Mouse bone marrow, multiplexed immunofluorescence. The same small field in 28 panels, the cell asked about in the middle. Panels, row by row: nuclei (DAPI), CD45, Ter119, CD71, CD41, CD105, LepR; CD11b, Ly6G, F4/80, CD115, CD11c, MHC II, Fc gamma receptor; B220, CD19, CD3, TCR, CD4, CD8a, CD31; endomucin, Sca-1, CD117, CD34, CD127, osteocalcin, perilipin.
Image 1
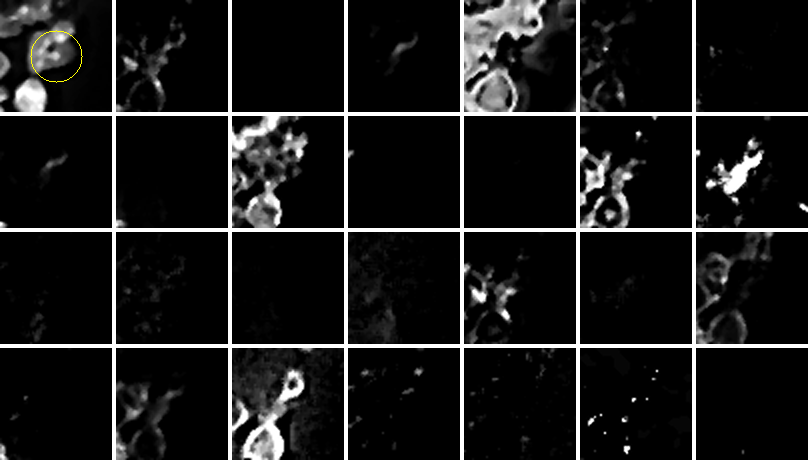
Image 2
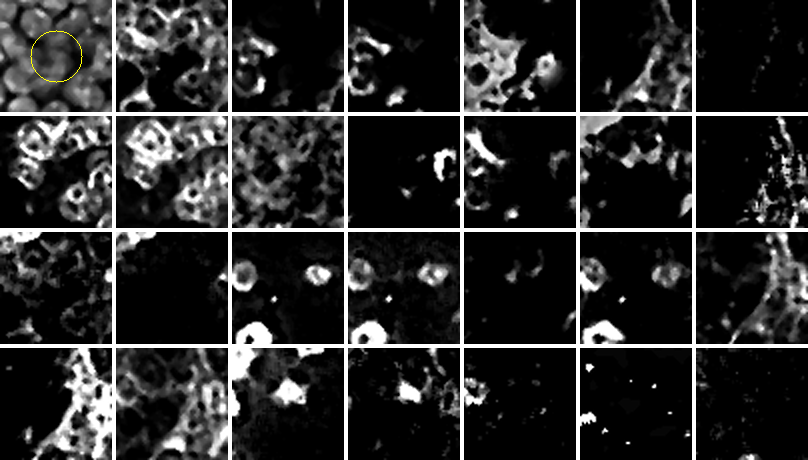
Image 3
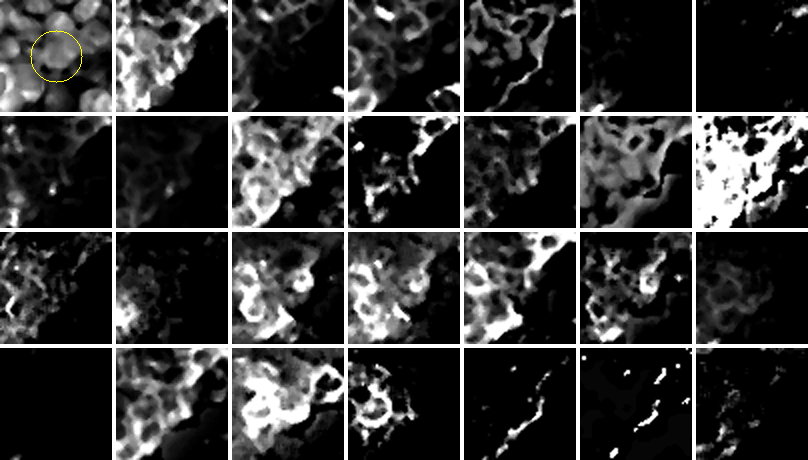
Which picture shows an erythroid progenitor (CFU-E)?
Picture 3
